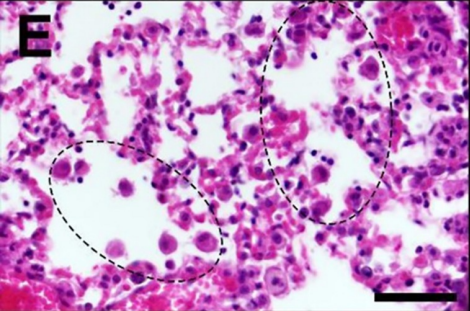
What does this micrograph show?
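This is lung tissue in which the alveolar spaces contain many large, rounded alveolar macrophages lying free in the air spaces. The alveolar walls around them are thickened and crowded with nuclei, and red blood cells are seen in the walls and at the lower left edge.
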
